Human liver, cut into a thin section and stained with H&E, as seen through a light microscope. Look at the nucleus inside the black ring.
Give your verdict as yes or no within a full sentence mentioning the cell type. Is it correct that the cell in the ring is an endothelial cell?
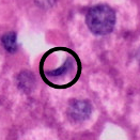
Yes, within this tissue section, the cell in the ring is an endothelial cell.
